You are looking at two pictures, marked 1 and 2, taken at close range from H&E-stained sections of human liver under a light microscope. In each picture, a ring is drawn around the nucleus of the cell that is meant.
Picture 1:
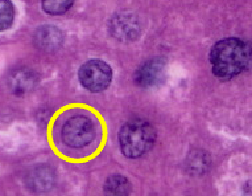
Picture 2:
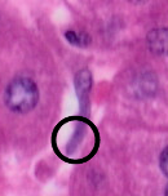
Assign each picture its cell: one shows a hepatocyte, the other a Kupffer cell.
1: hepatocyte
2: Kupffer cell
